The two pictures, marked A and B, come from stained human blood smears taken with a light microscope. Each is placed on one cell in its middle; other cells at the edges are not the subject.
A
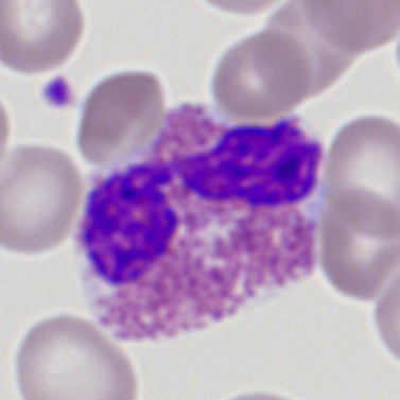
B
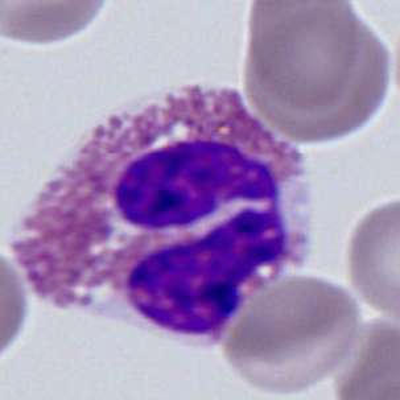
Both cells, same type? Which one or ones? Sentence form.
Yes, the central cells, in both crops, are eosinophils.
